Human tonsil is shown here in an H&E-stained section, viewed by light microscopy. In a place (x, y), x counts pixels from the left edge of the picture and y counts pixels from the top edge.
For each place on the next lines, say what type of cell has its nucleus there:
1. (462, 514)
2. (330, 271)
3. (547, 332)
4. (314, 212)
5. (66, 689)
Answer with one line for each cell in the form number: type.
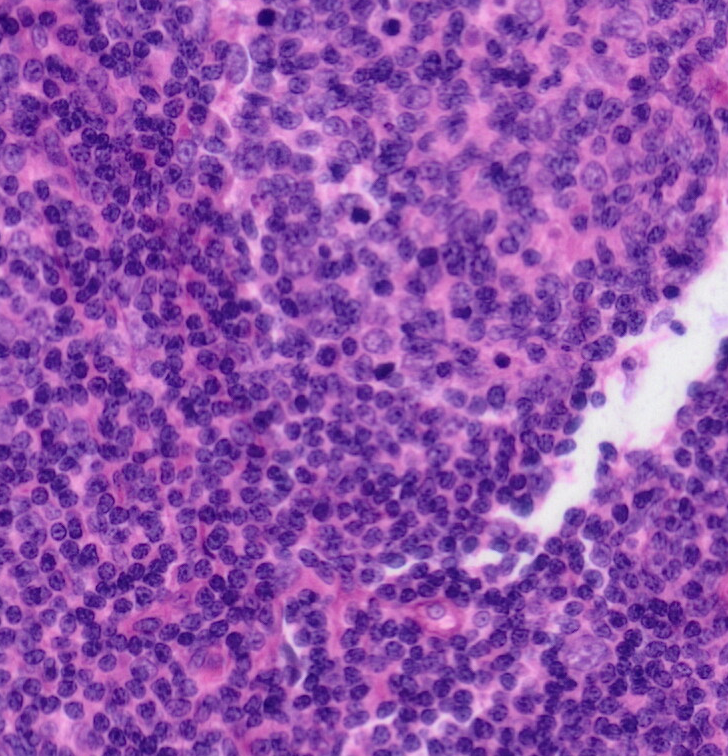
1: small lymphocyte
2: proliferating B cell
3: proliferating B cell
4: proliferating B cell
5: small lymphocyte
